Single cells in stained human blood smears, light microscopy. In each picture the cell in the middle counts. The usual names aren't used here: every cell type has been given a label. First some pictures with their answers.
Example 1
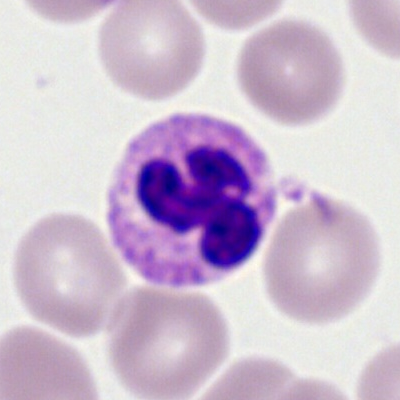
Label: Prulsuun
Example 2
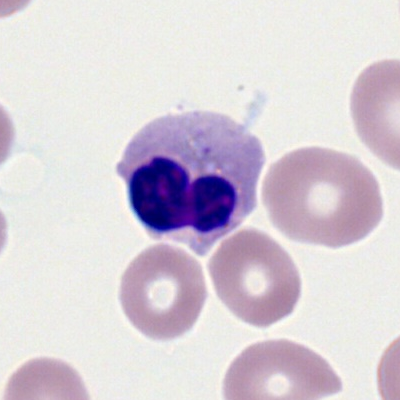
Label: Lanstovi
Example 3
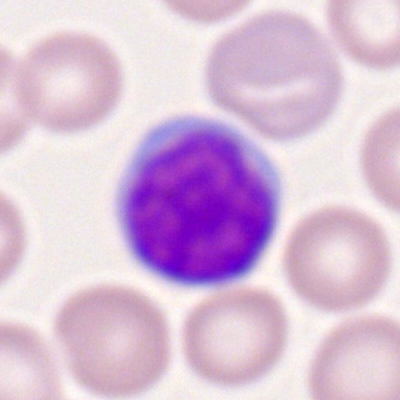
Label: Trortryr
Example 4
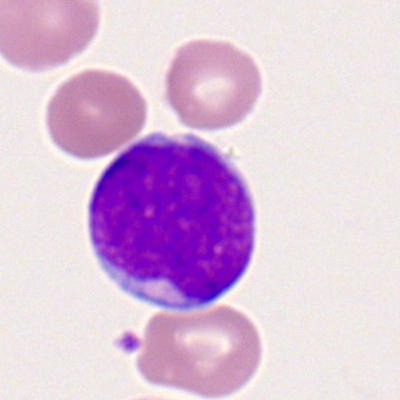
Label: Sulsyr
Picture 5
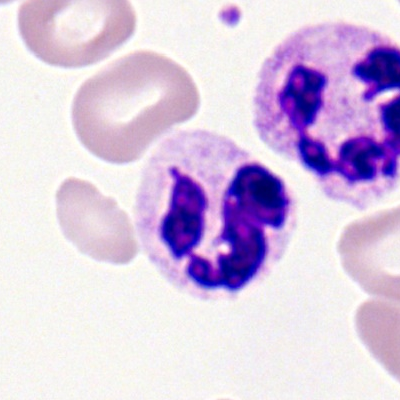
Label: Prulsuun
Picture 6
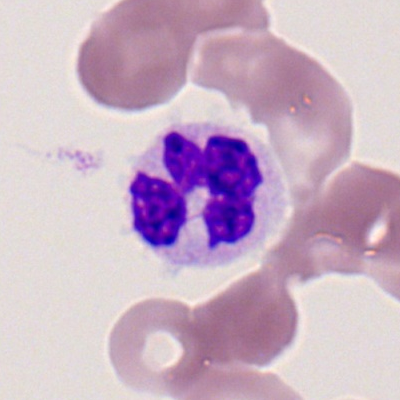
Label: Prulsuun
